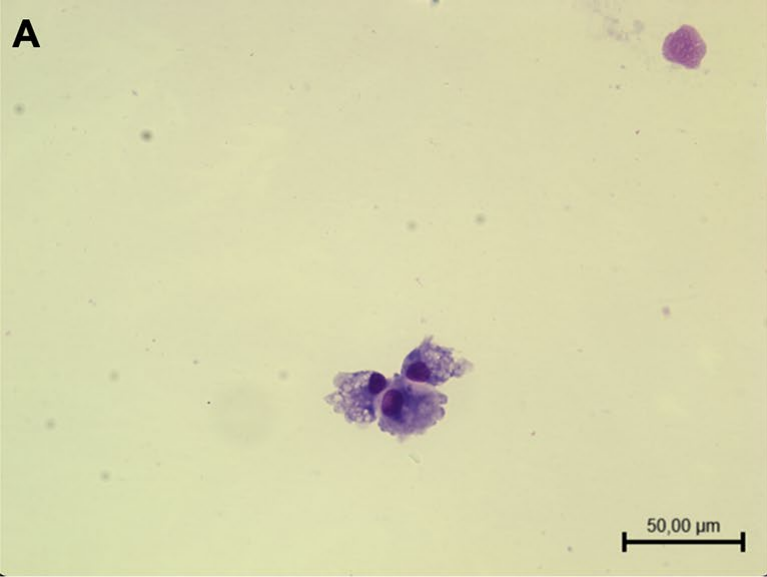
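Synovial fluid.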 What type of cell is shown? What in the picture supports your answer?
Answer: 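A small cluster of large cells with a single eccentric dark purple nucleus each. Abundant pale violet cytoplasm full of small clear vacuoles. Ragged, irregular cell borders with projecting processes.
Conclusion: macrophages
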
